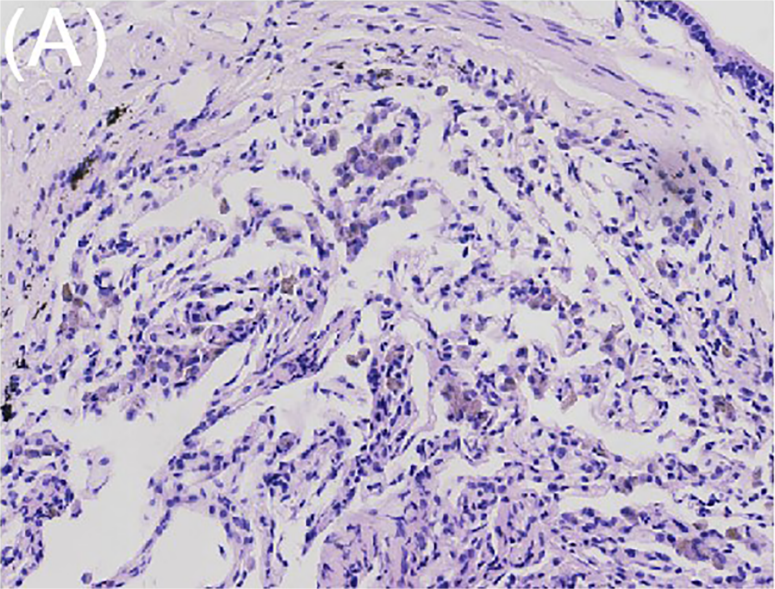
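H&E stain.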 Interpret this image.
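Here the lung tissue is more crowded, with a band of fibrous tissue across the top and many small spaces below it. Scattered through the spaces are groups of rounded macrophages whose cytoplasm holds brown pigment, and a few coarse black pigment deposits lie in the fibrous tissue.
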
